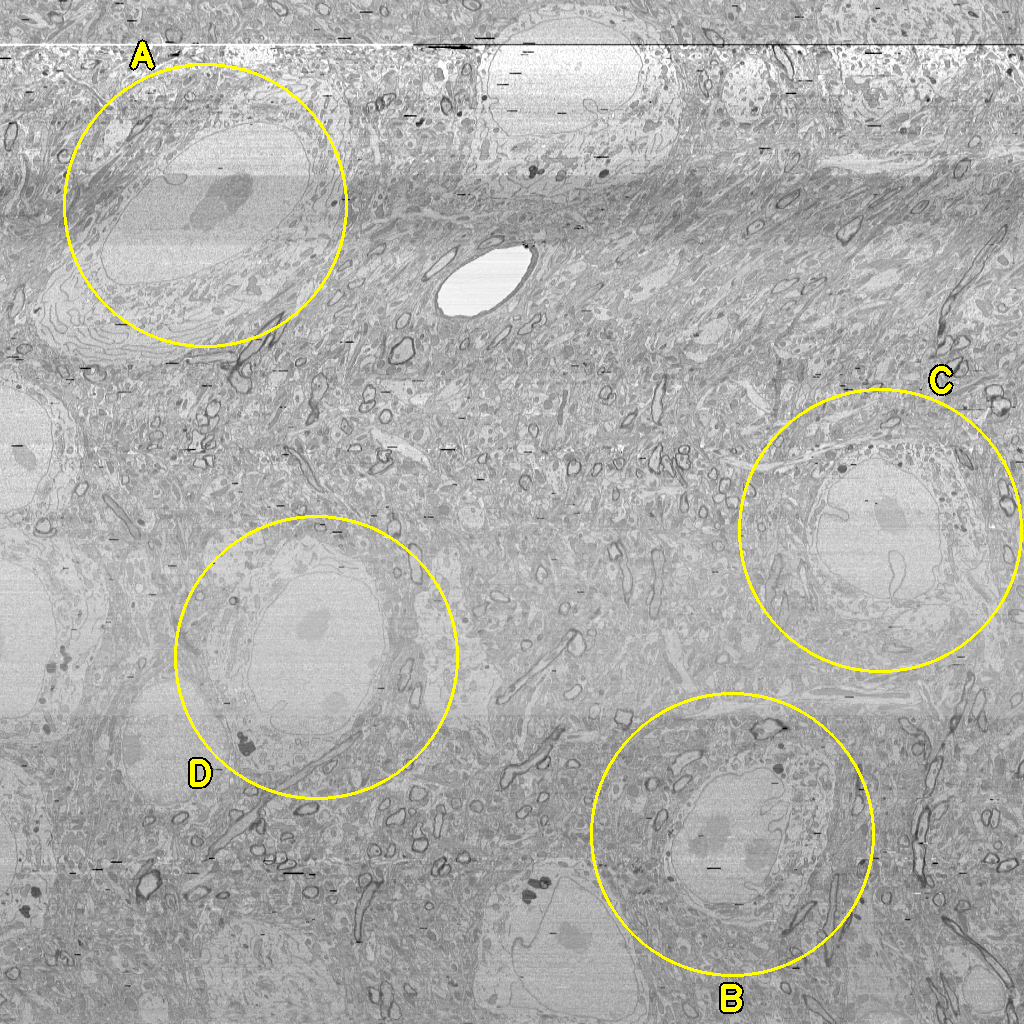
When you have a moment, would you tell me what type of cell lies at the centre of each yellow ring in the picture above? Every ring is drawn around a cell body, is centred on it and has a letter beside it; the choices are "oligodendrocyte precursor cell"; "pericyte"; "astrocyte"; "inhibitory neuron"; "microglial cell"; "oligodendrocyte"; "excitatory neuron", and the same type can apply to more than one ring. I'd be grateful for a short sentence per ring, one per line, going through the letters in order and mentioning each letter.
The cell at the centre of ring A is an excitatory neuron.
The cell at the centre of ring B is an inhibitory neuron.
The cell at the centre of ring C is an inhibitory neuron.
The cell at the centre of ring D is an excitatory neuron.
